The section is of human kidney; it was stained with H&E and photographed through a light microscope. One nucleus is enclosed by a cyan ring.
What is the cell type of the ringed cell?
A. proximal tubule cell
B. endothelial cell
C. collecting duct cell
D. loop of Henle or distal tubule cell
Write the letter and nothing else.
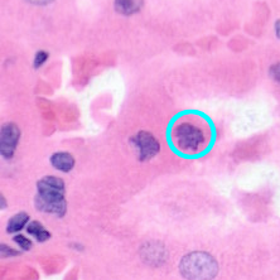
A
